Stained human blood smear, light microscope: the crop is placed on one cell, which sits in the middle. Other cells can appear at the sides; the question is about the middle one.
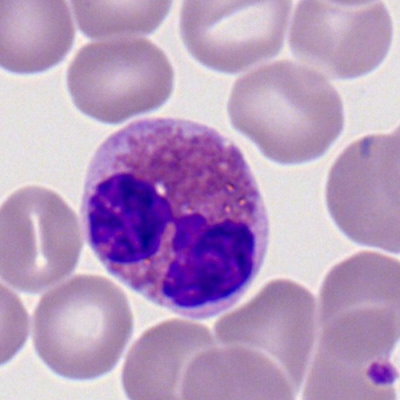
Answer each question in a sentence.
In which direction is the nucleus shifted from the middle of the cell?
Toward the bottom of the cell lies its nucleus.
